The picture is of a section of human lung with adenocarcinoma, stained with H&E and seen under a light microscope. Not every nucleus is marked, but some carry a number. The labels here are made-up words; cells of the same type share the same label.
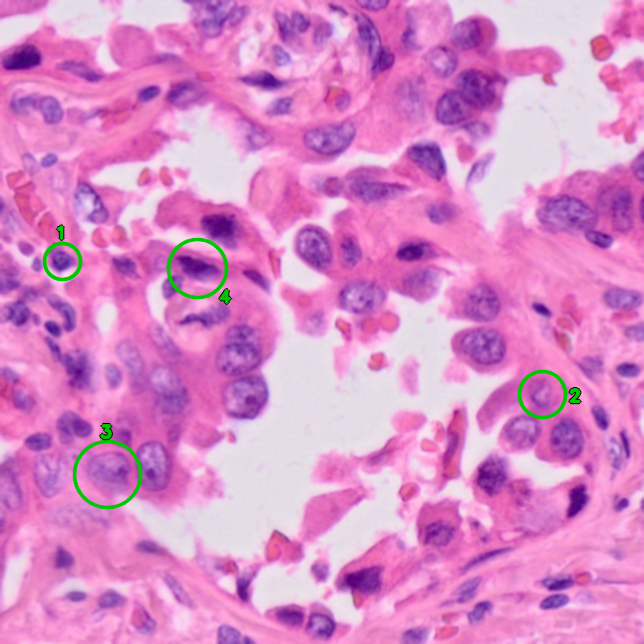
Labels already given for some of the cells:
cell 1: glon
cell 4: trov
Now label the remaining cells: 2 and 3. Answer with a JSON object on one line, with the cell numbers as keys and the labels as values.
{"2": "trov", "3": "trov"}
